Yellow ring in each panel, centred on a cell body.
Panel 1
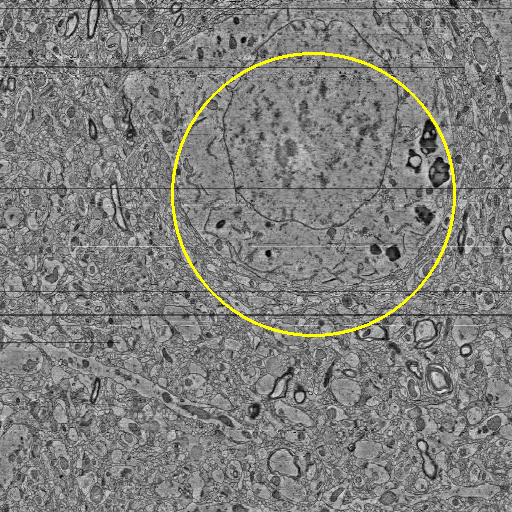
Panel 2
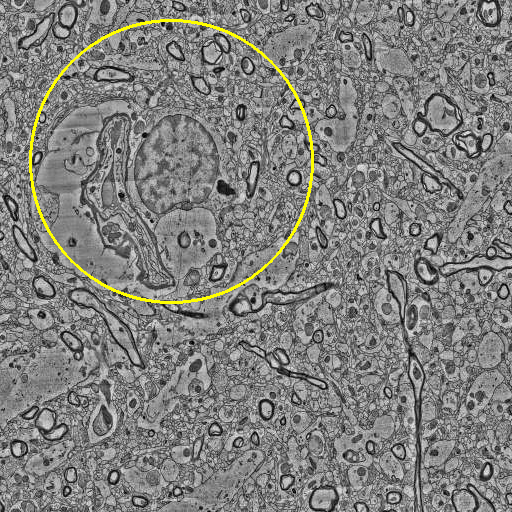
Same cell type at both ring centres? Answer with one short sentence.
No, the two cells are of two types.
